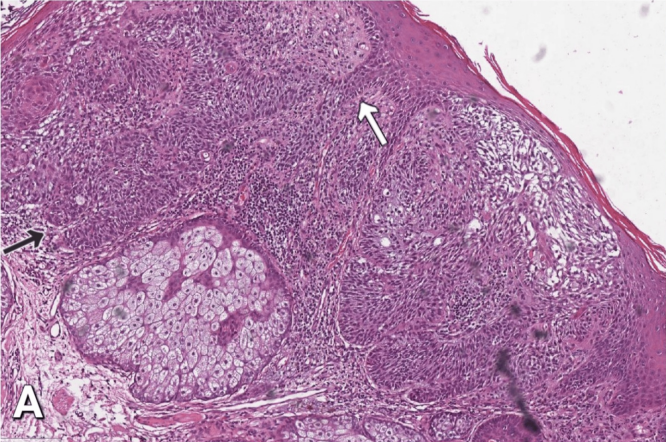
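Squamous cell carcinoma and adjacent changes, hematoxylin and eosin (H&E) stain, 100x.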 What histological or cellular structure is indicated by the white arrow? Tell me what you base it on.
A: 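Cords of atypical cells. Broad bands of crowded epithelial cells run down from the surface epithelium into the dermis. The cells have dark, crowded nuclei and pink cytoplasm.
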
